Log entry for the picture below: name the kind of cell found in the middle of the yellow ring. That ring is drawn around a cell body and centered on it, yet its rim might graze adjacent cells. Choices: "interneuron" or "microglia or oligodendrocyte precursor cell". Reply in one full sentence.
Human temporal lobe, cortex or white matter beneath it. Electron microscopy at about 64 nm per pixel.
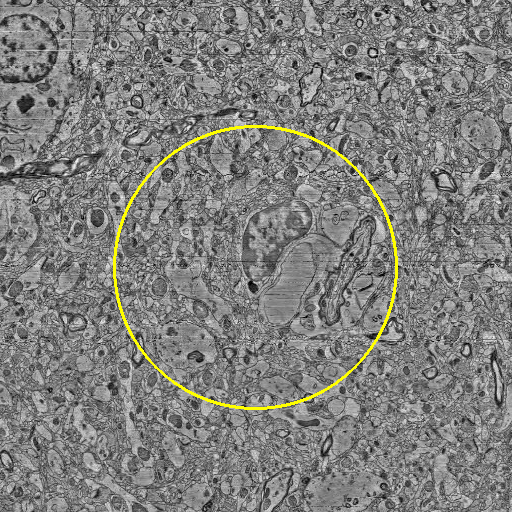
The cell in the middle of the yellow ring in this picture is a microglial cell or oligodendrocyte precursor cell.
